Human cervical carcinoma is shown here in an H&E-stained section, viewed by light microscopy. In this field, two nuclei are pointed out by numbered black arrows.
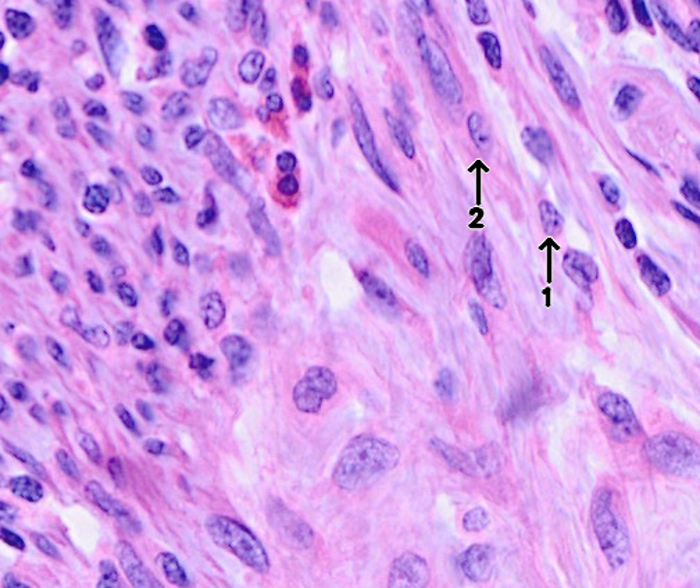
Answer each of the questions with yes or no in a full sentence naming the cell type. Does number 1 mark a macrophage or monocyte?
Yes, the cell at marker 1 is a macrophage or monocyte.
